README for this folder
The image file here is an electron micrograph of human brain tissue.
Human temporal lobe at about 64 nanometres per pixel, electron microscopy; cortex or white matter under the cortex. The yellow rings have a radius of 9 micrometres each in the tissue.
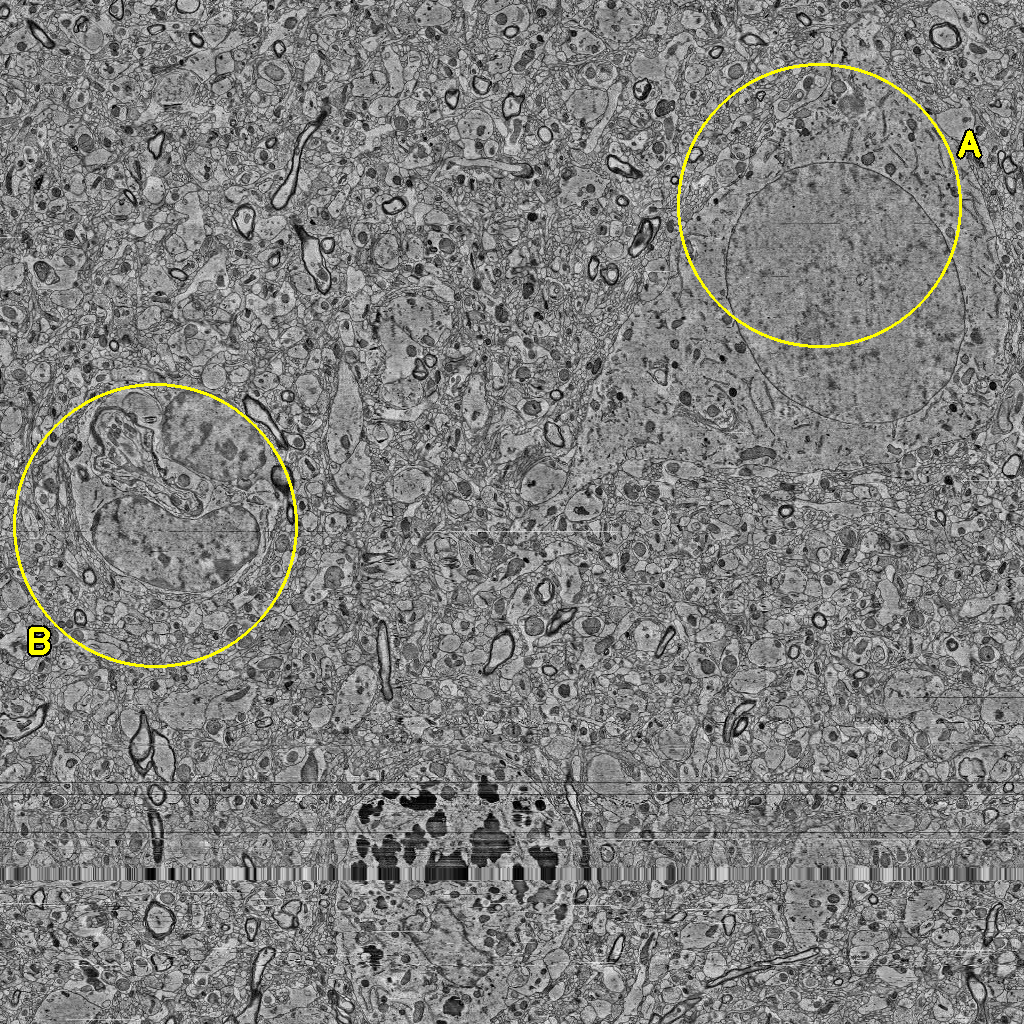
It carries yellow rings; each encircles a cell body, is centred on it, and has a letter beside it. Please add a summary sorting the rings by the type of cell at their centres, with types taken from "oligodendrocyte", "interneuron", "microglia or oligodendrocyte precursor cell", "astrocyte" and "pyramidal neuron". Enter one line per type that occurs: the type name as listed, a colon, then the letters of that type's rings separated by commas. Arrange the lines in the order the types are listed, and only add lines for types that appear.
microglia or oligodendrocyte precursor cell: B
pyramidal neuron: A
